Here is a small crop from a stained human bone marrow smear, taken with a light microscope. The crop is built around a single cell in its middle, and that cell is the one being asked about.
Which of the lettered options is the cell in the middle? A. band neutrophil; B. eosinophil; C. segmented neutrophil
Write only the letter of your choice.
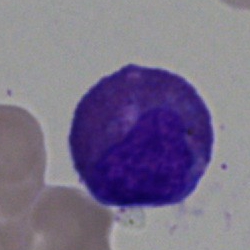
B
